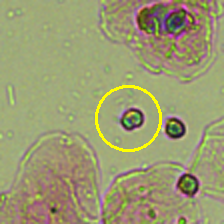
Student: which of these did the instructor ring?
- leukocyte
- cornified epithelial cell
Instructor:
The cell I ringed is a leukocyte.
